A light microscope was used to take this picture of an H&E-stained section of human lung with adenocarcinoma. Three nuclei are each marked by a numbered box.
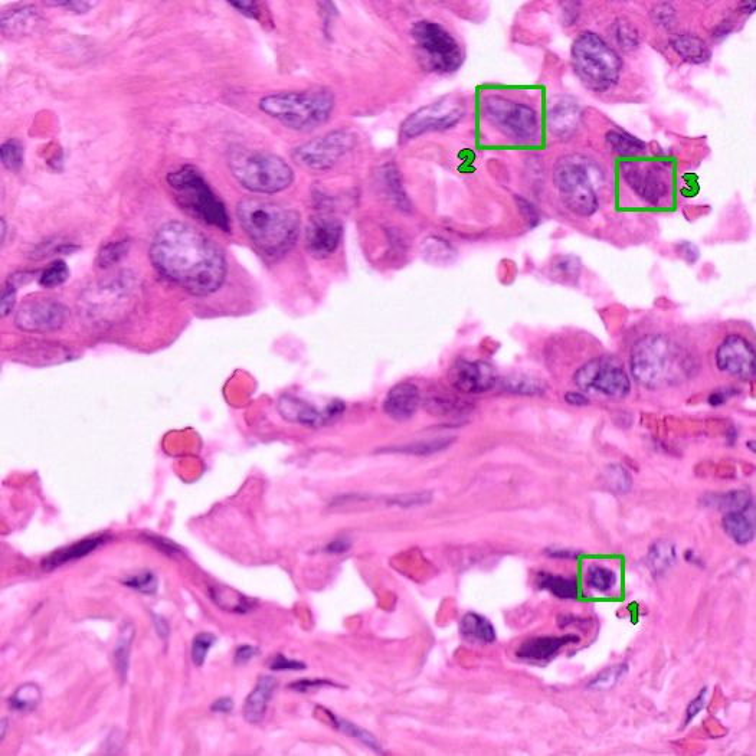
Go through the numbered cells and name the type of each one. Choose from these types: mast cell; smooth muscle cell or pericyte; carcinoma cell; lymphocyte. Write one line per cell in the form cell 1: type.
cell 1: lymphocyte
cell 2: carcinoma cell
cell 3: carcinoma cell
